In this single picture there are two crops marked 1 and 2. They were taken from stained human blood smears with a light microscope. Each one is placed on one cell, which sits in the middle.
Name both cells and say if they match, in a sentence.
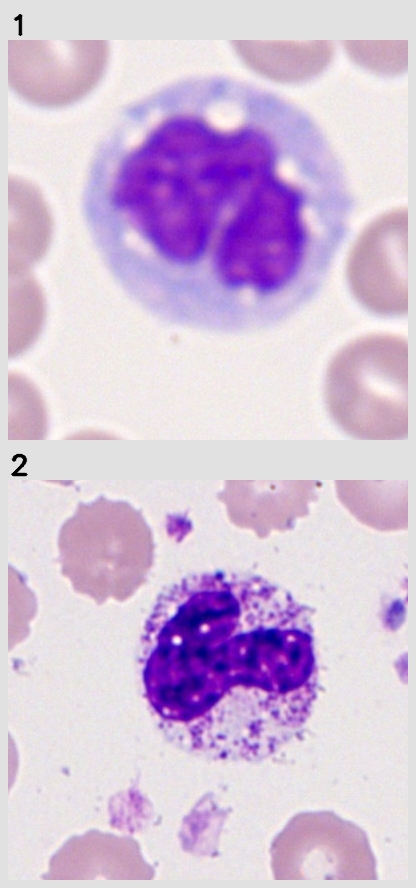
No, crop 1 shows a monocyte, and crop 2, by contrast, shows a neutrophil.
